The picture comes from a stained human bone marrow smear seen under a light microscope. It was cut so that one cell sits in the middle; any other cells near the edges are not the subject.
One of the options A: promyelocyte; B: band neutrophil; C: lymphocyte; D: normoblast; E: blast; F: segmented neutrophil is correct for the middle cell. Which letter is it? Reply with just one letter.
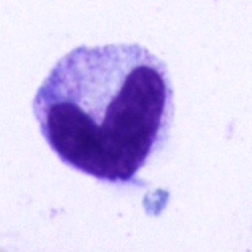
B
